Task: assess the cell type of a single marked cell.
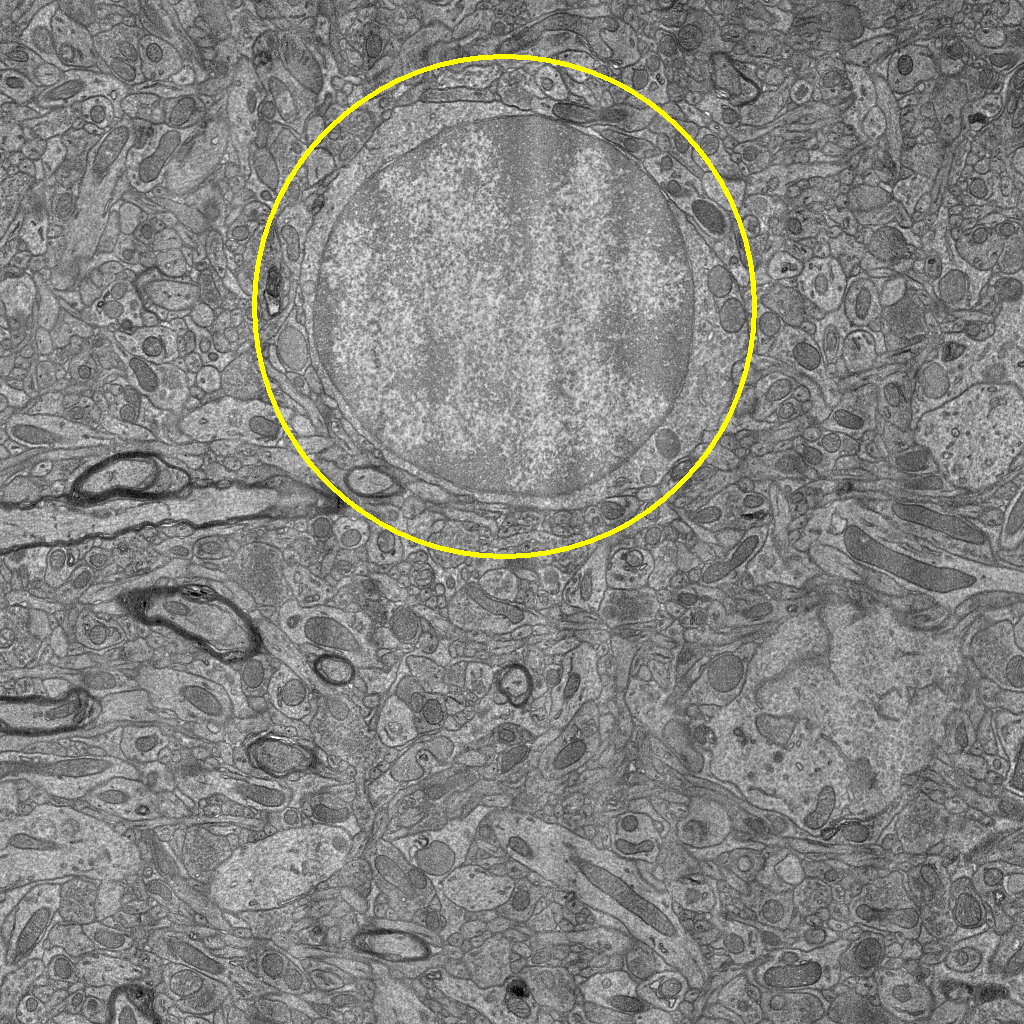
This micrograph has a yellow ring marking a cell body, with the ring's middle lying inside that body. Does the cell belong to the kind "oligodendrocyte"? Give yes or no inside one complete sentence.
Yes, the marked cell, which holds the middle of the ring, belongs to that kind.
